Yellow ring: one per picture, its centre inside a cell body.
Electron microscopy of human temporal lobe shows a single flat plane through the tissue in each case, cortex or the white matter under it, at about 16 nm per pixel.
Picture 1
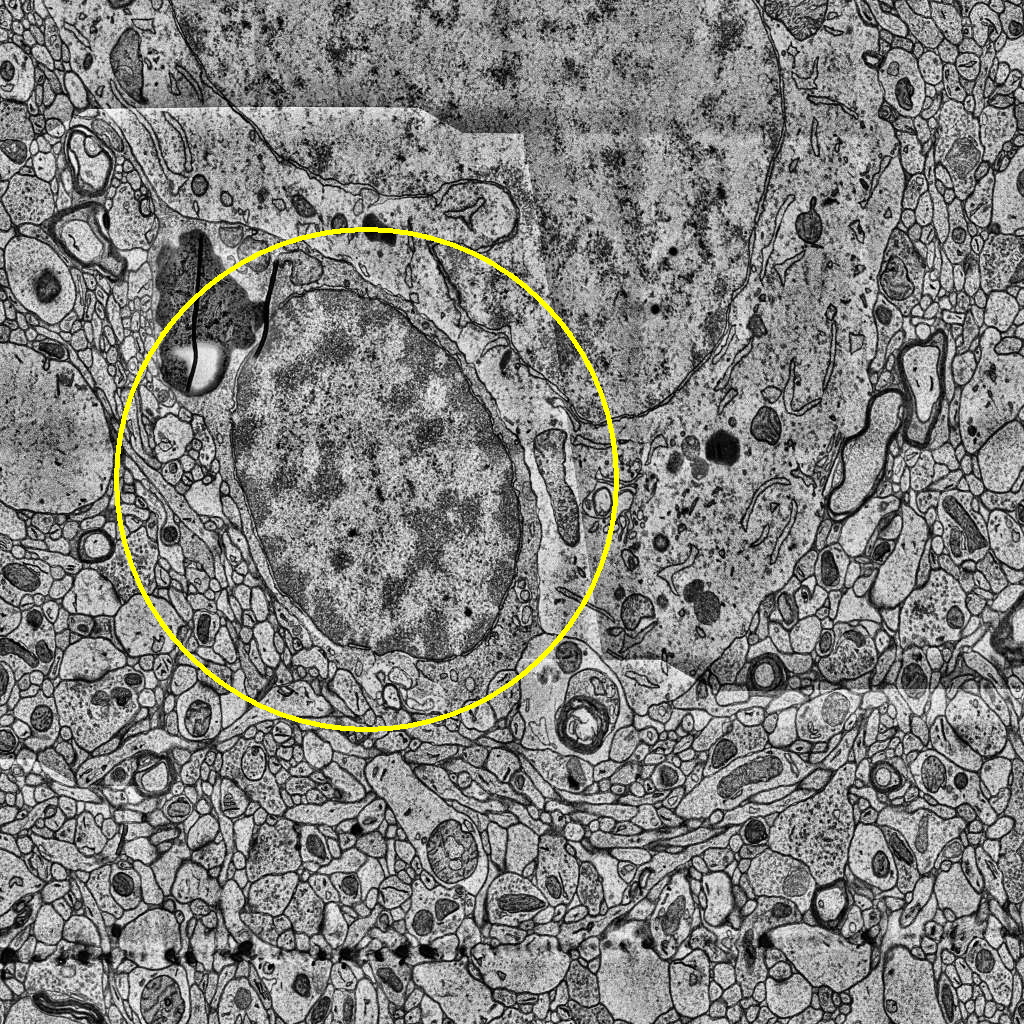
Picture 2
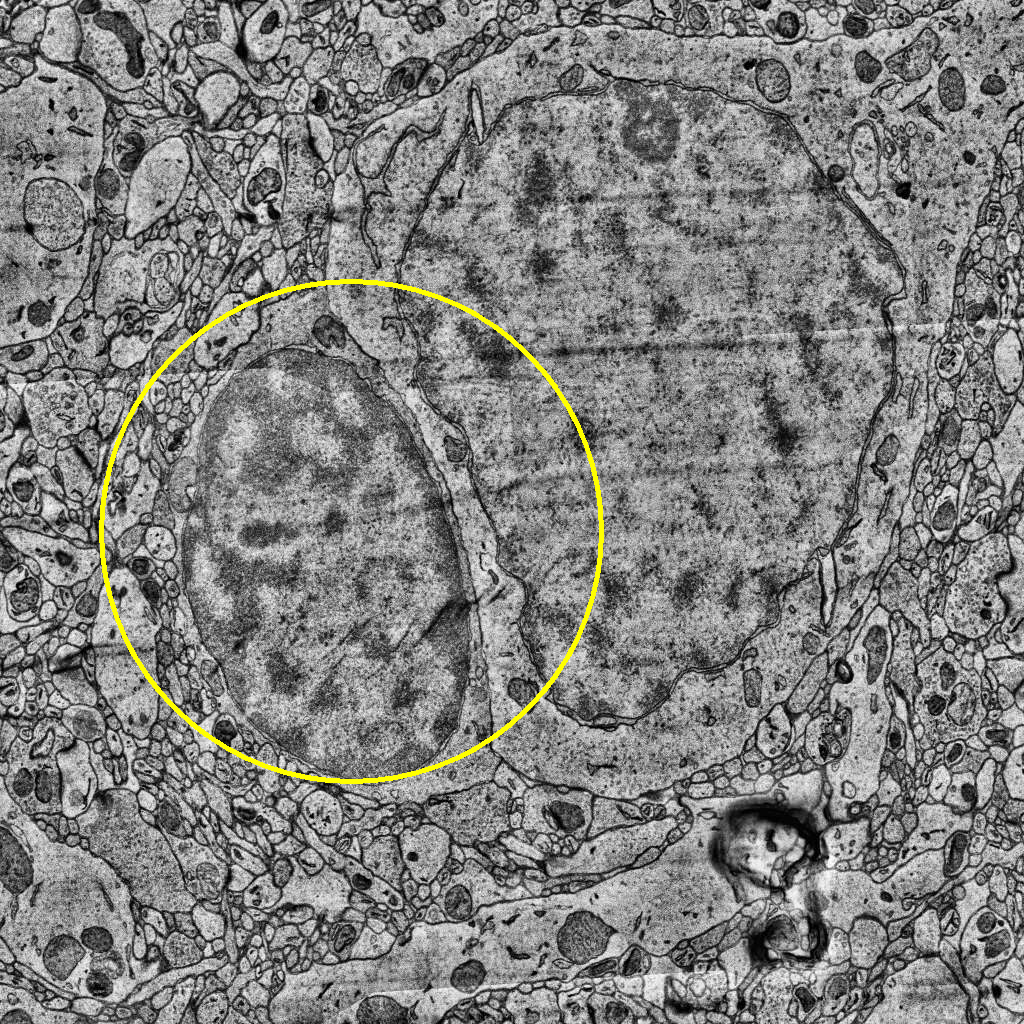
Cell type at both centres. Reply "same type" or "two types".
same type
